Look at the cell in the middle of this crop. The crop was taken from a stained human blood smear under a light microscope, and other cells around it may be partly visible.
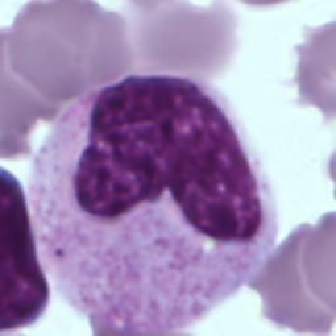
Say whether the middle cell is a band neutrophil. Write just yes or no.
yes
